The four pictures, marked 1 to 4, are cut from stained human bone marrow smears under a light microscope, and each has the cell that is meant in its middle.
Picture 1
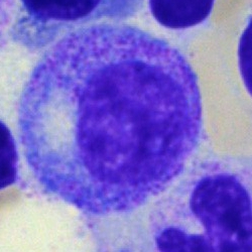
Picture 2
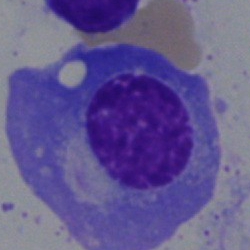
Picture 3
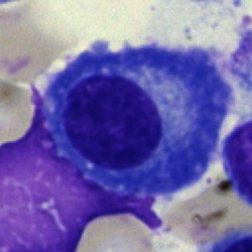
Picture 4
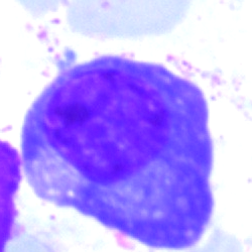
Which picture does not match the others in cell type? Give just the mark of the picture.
1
